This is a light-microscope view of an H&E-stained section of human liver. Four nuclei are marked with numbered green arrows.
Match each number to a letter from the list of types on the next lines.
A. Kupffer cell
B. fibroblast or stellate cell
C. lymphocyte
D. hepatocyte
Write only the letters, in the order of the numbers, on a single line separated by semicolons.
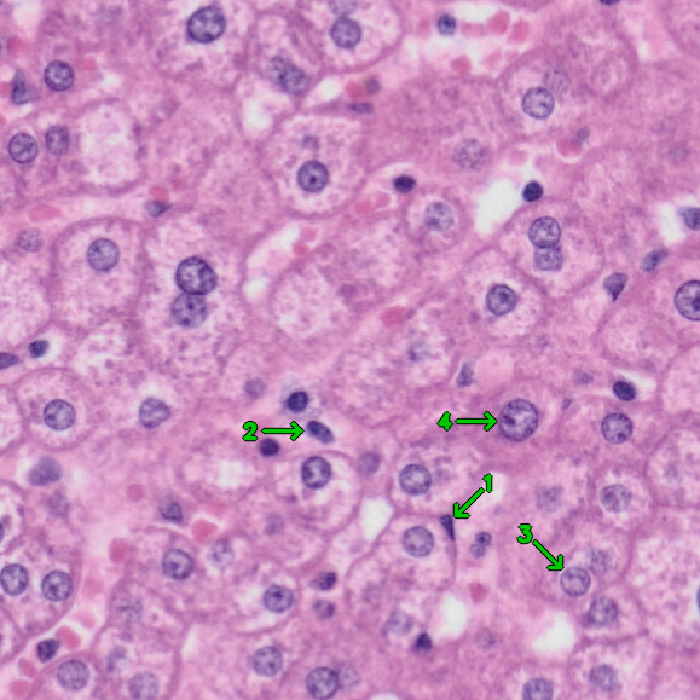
B; C; D; D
